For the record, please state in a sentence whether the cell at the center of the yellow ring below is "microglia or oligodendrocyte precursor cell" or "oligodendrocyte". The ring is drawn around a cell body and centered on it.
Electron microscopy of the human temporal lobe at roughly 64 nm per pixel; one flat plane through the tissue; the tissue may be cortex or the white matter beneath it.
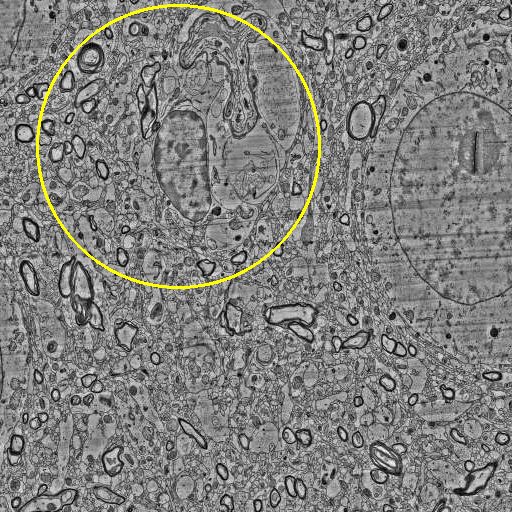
The cell at the ring's center is a microglial cell or oligodendrocyte precursor cell.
